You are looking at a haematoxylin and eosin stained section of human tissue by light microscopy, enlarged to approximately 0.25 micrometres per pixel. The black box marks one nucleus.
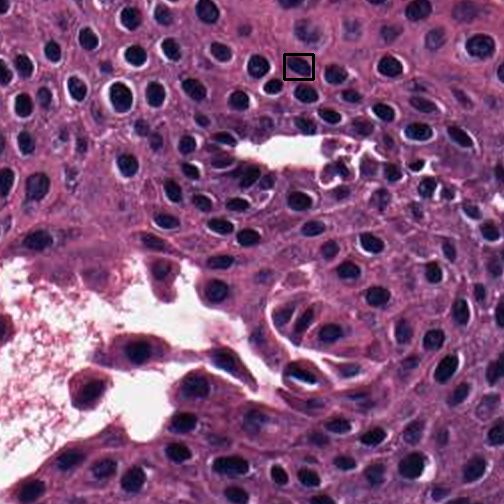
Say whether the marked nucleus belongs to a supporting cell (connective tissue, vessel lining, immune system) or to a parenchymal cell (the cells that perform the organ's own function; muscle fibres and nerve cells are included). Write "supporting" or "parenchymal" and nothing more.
parenchymal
